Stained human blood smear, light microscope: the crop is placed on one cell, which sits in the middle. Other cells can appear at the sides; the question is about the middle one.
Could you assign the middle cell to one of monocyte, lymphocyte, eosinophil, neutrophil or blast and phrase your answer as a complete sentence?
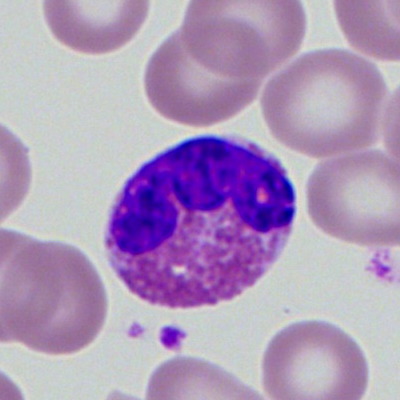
The centrally located cell in the crop is an eosinophil.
